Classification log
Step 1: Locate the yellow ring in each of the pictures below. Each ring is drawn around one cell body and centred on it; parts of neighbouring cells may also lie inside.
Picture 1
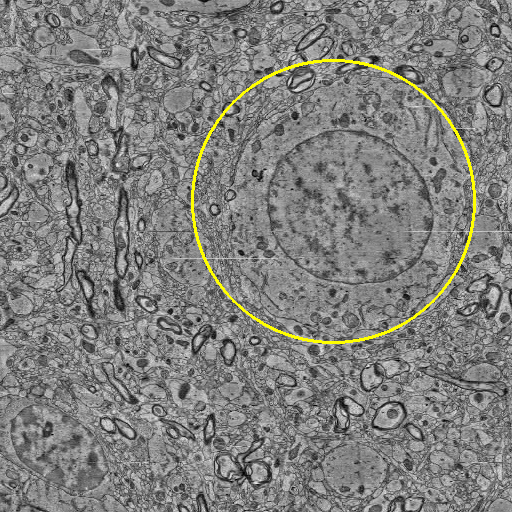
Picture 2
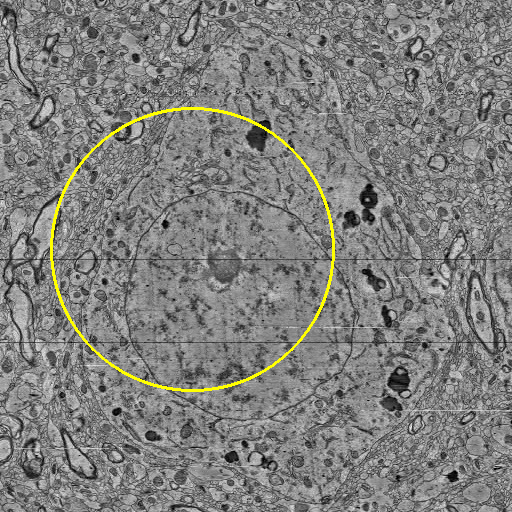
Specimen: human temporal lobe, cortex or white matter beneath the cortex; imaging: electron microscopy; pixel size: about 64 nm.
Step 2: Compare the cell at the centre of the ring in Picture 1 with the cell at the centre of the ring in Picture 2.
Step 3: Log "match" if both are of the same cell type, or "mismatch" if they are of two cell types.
mismatch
